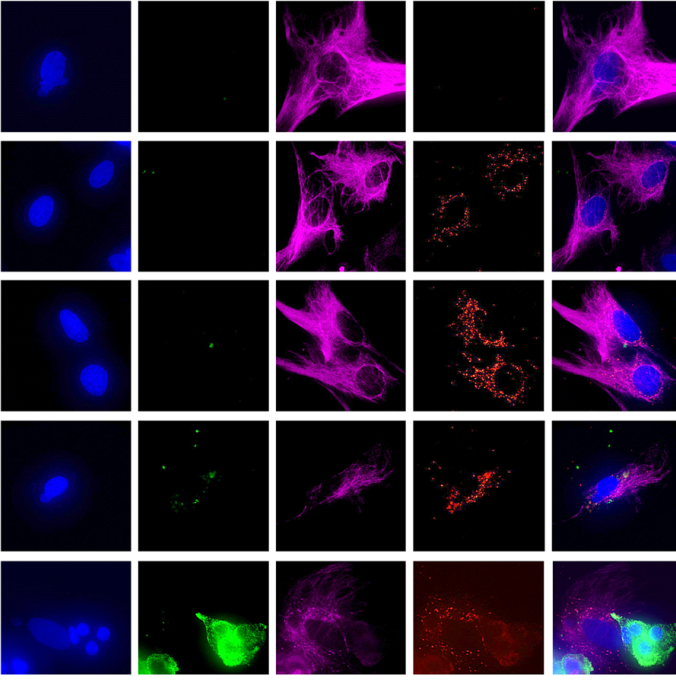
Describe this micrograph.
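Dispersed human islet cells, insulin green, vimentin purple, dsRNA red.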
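In several fibroblasts, red dots are scattered through the cytoplasm around the nucleus. Small clusters of rounded cells with green cytoplasm sit among the spread purple cells in some fields.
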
